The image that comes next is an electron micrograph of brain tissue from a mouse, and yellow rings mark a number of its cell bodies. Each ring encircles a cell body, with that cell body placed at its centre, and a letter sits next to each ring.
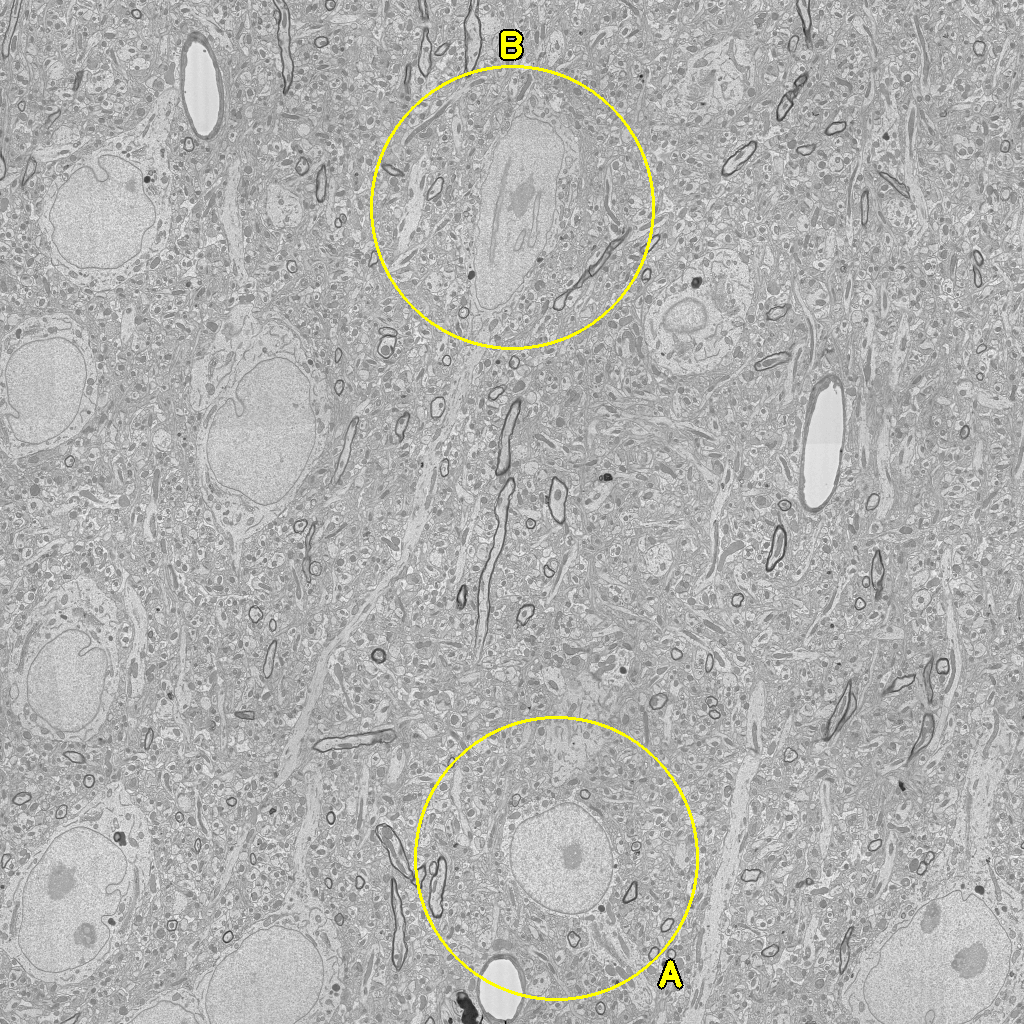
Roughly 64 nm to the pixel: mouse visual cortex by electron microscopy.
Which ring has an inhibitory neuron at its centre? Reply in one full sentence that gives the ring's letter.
In the image, ring B has the cell the question asks for at its centre.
